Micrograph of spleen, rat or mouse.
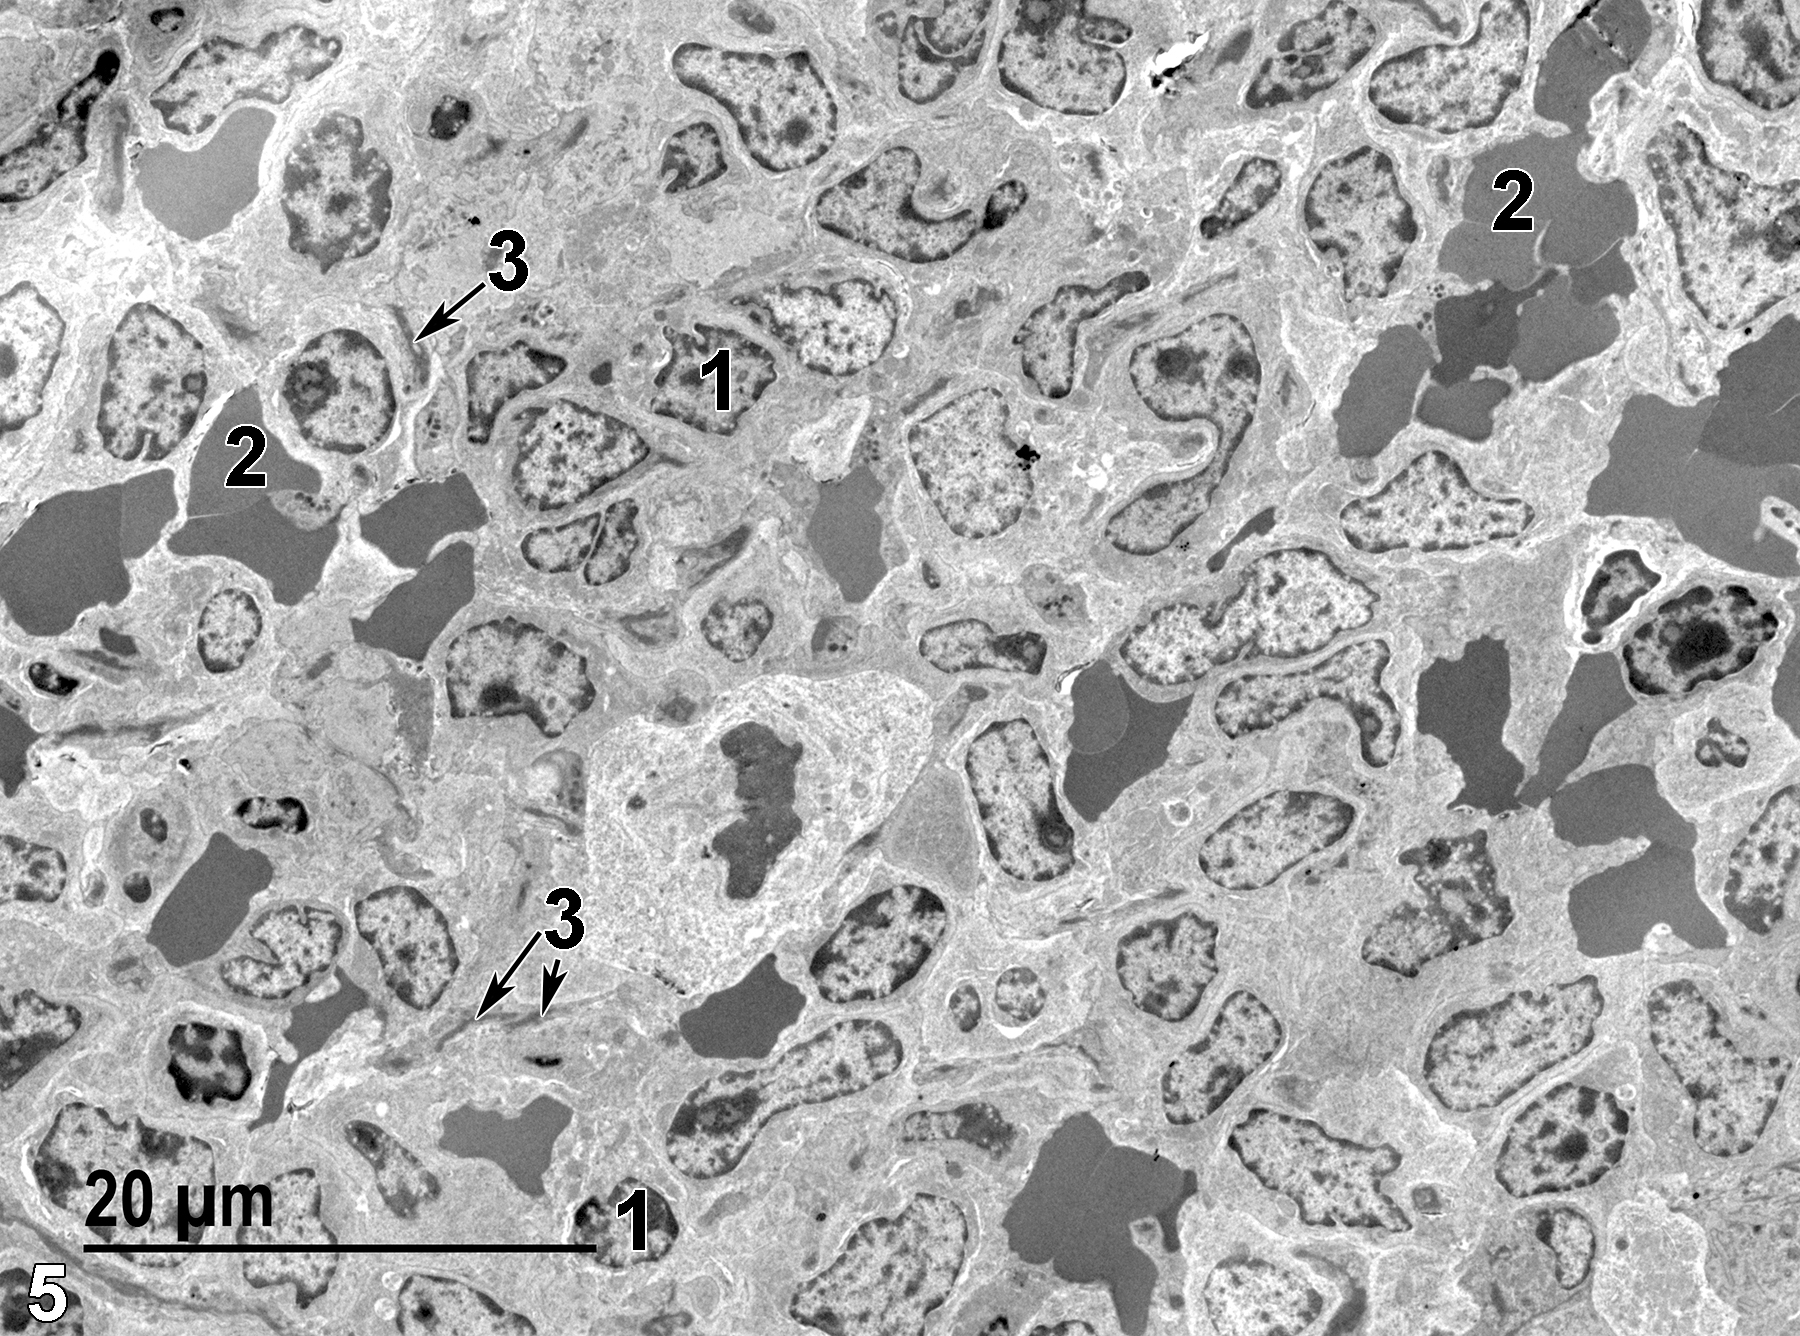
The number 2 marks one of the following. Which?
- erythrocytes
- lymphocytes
erythrocytes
